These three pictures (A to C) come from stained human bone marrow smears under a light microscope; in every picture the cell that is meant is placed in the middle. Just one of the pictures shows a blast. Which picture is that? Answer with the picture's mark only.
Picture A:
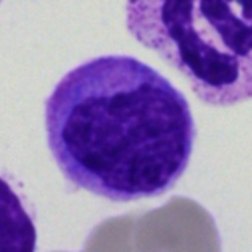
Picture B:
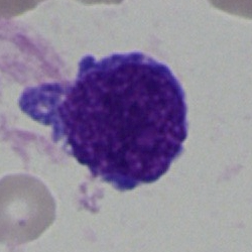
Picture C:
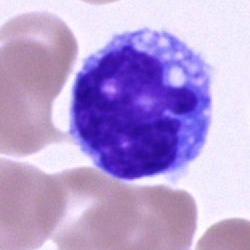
B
